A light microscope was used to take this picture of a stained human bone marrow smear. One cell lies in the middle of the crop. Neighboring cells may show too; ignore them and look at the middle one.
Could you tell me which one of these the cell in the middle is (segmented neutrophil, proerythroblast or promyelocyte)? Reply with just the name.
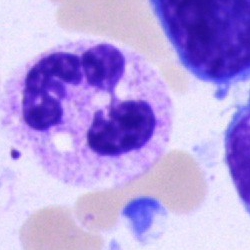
segmented neutrophil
